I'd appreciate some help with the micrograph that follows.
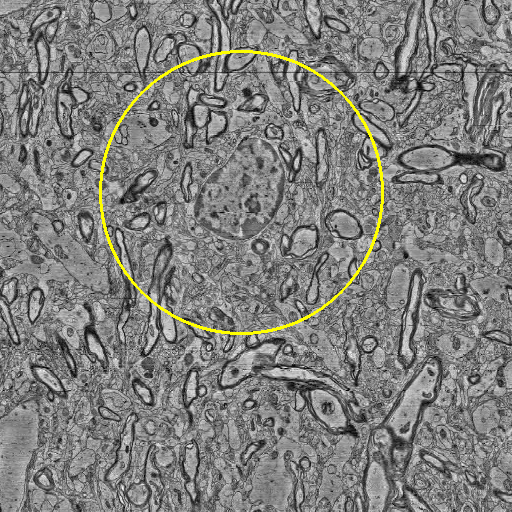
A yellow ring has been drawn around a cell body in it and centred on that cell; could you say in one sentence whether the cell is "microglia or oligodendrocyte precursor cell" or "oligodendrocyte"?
It is a microglial cell or oligodendrocyte precursor cell at the centre of the ring.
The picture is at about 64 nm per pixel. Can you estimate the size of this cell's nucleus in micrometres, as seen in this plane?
In this plane, roughly 7 by 5 micrometres.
